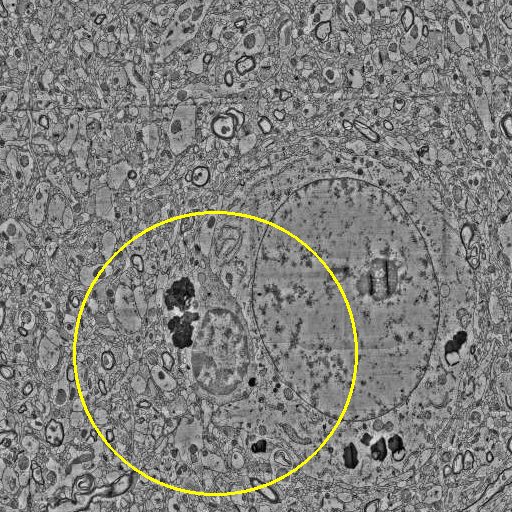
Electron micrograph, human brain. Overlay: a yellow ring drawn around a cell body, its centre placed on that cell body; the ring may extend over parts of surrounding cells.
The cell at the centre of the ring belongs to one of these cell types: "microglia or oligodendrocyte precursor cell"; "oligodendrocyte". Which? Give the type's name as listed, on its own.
oligodendrocyte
